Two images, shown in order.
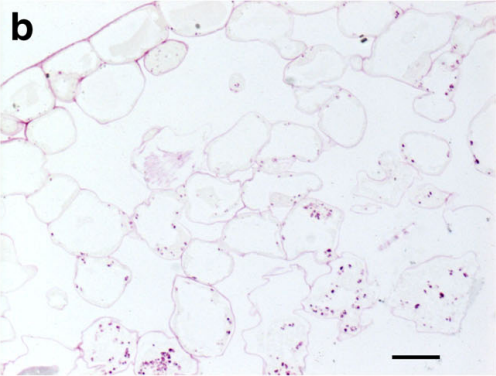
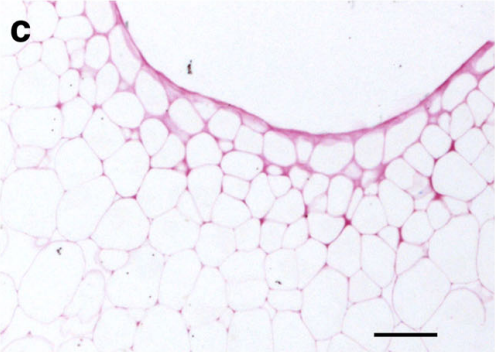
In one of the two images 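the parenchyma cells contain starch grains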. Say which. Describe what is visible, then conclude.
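Second image: the parenchyma cells are empty, only their magenta walls are stained. First image: many parenchyma cells hold clusters of dark magenta granules. On this evidence: the first image.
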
